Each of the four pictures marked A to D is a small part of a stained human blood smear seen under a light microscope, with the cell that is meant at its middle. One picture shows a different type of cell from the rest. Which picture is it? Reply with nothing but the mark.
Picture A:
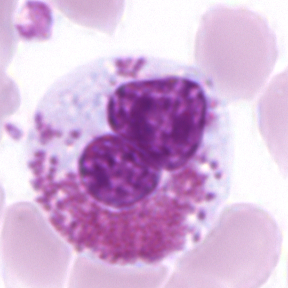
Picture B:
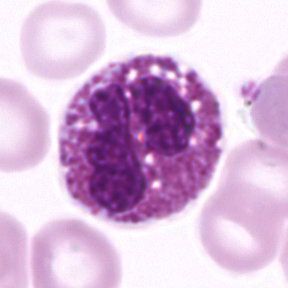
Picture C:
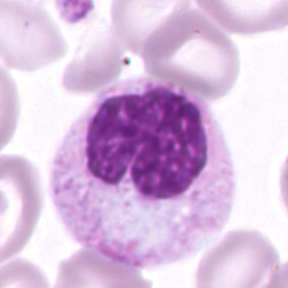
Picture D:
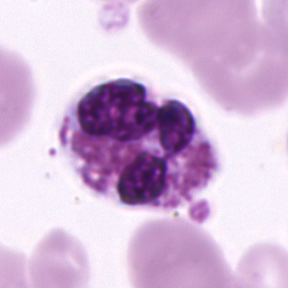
C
